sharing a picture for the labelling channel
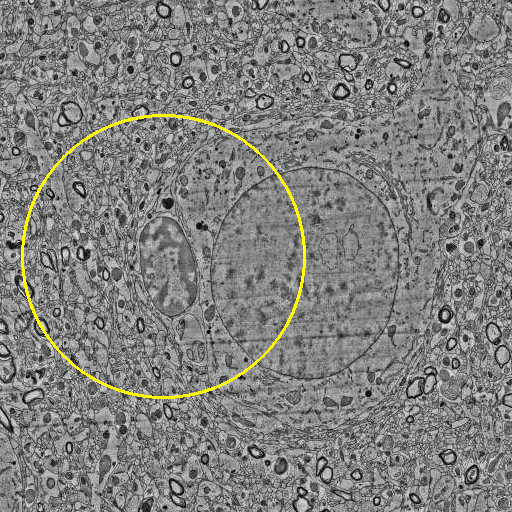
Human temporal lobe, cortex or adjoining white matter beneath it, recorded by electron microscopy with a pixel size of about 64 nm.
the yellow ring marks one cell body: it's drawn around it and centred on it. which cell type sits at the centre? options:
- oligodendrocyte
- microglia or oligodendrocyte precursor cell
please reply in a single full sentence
In the picture, the cell at the ring's centre is a microglial cell or oligodendrocyte precursor cell, going by the list.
